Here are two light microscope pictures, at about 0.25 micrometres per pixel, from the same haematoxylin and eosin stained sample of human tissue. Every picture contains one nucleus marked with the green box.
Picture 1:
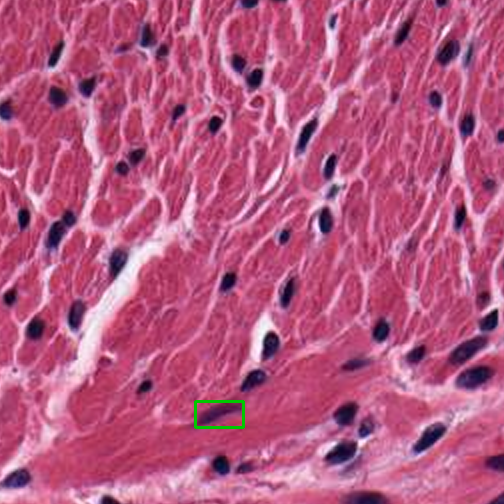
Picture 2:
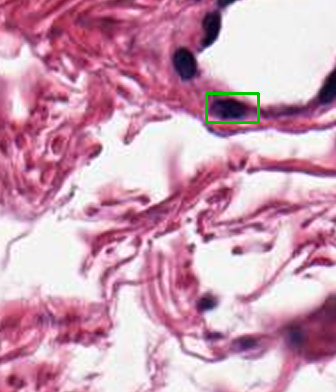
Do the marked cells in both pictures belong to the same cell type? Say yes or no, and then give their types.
No, the first is a smooth muscle cell and the second an endothelial cell.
